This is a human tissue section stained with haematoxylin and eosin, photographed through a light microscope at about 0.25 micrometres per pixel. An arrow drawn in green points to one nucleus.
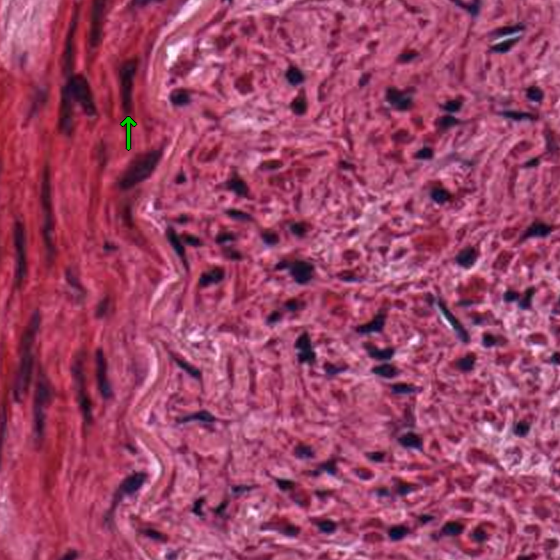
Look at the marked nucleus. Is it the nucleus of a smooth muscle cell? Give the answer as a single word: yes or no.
yes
